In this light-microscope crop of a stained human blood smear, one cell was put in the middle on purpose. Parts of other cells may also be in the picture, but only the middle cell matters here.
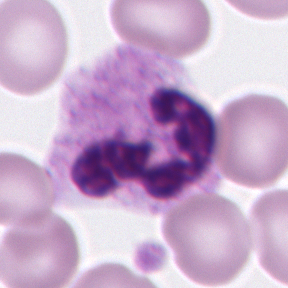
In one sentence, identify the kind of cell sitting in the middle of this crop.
The middle of this crop is occupied by a segmented neutrophil.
